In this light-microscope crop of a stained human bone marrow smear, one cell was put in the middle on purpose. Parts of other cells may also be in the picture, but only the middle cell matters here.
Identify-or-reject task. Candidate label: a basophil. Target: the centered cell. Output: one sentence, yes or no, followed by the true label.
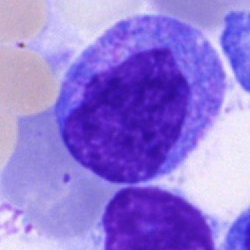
No; rather than a basophil, the cell at the center is a promyelocyte.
